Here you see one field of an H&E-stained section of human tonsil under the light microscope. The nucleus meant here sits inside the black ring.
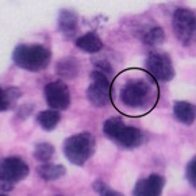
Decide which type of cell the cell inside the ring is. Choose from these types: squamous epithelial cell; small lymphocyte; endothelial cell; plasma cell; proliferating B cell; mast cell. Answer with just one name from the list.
proliferating B cell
